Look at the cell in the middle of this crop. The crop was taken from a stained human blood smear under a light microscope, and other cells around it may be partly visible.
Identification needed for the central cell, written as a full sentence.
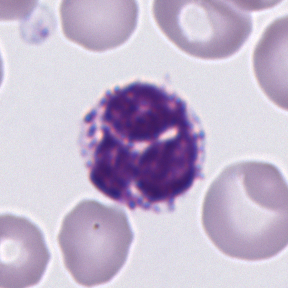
The middle of this crop is occupied by a basophil.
